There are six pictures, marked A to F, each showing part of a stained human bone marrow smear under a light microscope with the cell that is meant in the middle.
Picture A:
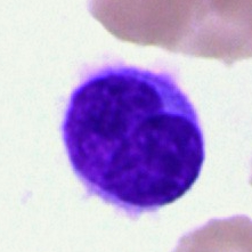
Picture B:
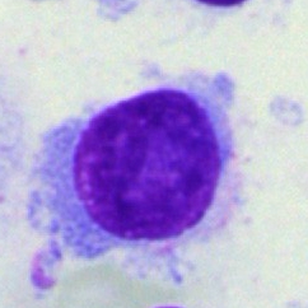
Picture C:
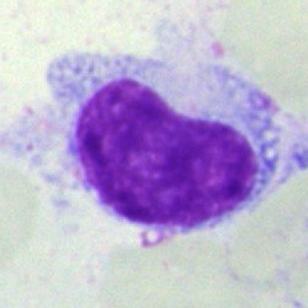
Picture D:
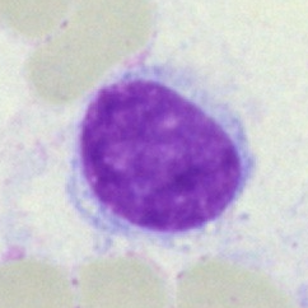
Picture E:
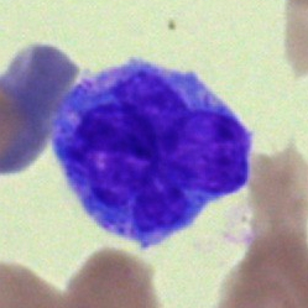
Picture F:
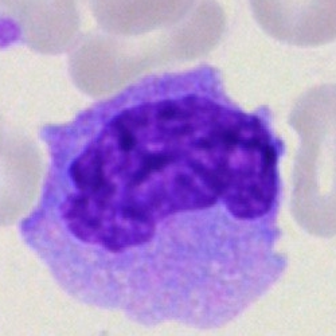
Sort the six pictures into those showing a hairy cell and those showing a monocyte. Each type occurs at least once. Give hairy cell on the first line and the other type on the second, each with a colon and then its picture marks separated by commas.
hairy cell: A, B, C, D
monocyte: E, F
